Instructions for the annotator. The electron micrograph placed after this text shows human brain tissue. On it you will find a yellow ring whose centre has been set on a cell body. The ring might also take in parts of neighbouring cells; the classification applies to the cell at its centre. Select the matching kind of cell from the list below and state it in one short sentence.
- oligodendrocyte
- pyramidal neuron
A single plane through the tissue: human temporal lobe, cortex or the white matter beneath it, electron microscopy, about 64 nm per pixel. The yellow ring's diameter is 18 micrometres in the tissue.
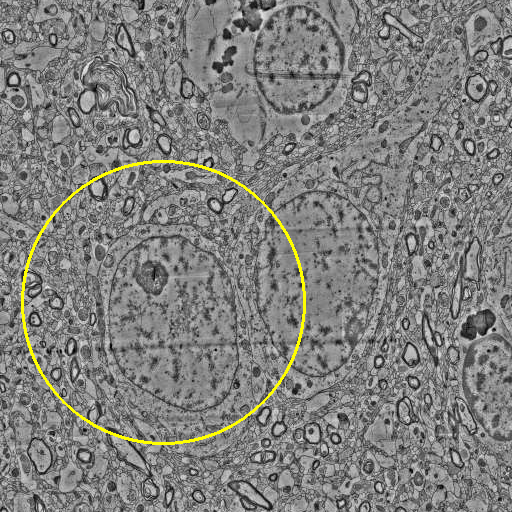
The ring is drawn on the cell body of a pyramidal neuron.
